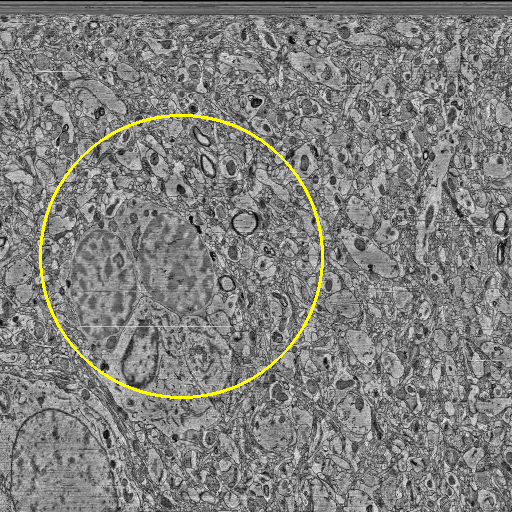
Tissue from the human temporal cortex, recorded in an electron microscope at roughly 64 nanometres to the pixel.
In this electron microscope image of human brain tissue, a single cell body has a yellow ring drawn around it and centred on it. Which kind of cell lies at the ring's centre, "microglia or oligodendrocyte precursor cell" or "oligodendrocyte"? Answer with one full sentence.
It is an oligodendrocyte whose cell body lies at the centre of the yellow ring here.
